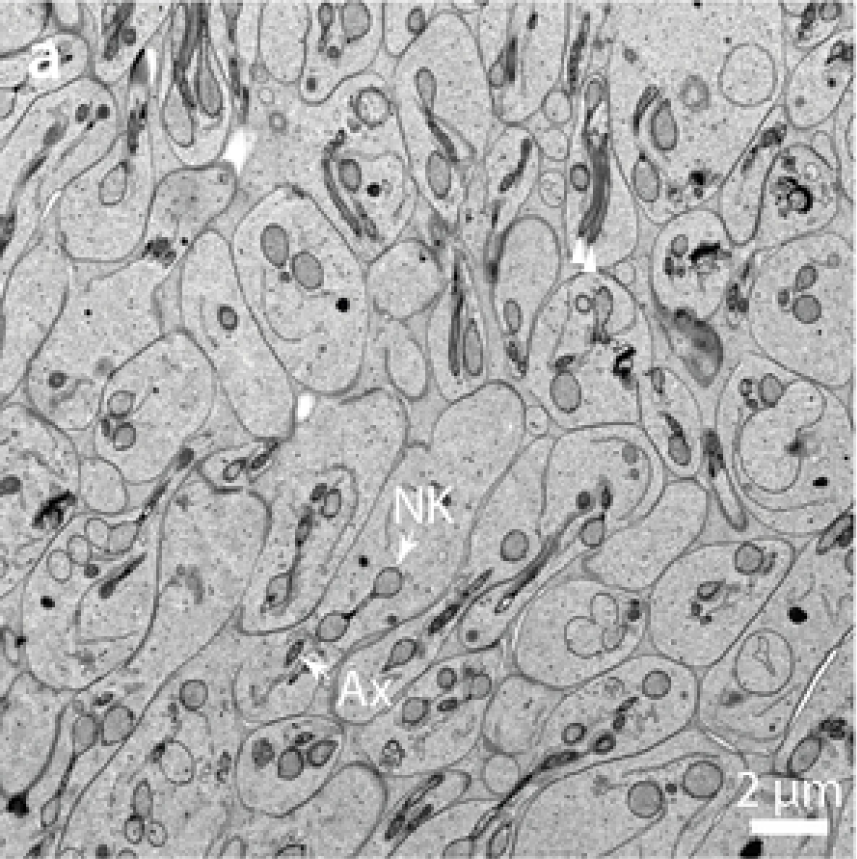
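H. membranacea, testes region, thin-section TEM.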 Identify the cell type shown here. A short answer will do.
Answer: Developing sperm cells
